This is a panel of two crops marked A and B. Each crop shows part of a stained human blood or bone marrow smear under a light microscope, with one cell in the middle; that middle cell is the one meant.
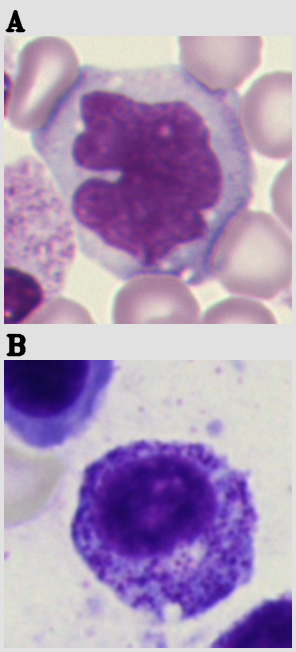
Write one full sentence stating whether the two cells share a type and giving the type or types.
No, crop A shows a monocyte, whereas a myelocyte is what crop B shows.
